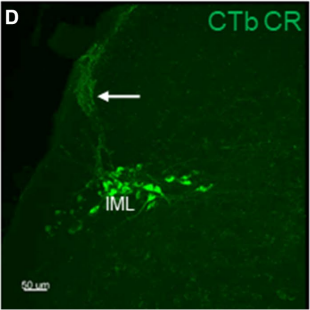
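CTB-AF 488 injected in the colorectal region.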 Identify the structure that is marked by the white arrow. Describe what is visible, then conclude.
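Transganglionic labeled nerve fibers. The arrow points to fine green threads running along the lateral edge of the dorsal grey matter. These threads contain no cell bodies.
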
